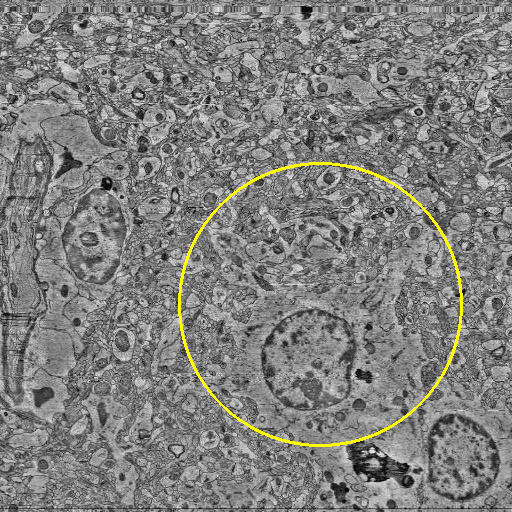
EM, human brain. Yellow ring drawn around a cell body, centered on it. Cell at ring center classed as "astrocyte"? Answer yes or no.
yes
